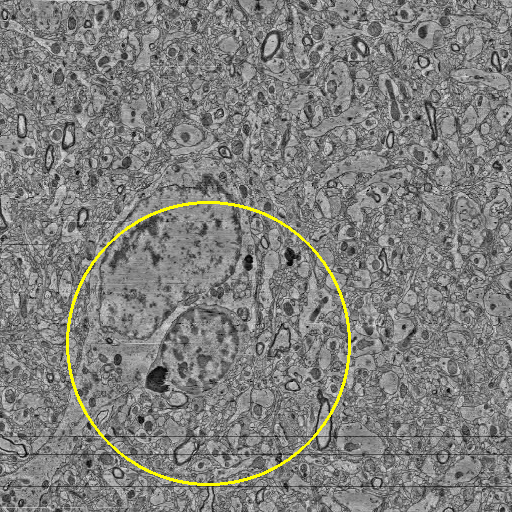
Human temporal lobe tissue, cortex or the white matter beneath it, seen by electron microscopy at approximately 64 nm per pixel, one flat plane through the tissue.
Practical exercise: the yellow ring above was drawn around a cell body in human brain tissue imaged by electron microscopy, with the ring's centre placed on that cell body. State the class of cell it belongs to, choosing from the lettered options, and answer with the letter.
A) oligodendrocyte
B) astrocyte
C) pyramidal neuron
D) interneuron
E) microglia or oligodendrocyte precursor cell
A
